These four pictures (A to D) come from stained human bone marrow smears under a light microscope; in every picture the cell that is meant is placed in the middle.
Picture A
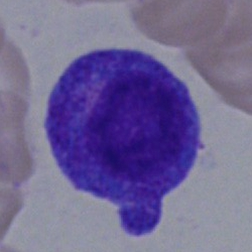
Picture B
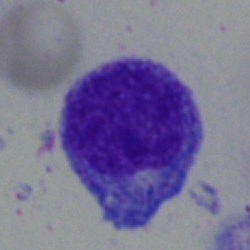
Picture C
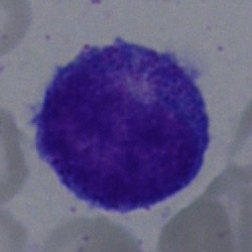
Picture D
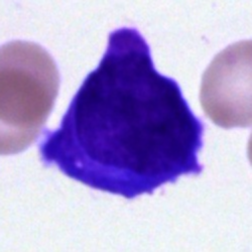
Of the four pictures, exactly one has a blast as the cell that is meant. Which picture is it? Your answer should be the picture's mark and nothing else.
D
